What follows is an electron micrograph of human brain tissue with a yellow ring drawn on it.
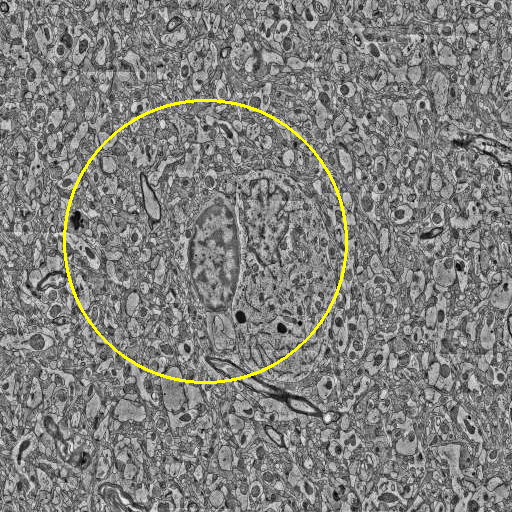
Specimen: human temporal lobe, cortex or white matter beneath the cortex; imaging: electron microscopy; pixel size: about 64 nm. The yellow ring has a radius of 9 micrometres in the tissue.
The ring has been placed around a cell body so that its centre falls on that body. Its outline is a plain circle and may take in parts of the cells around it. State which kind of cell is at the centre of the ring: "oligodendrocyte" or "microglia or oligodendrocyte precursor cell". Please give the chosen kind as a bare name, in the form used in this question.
oligodendrocyte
